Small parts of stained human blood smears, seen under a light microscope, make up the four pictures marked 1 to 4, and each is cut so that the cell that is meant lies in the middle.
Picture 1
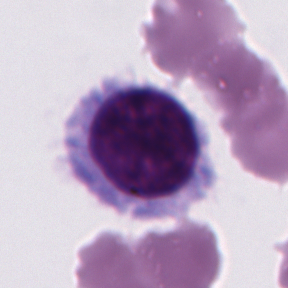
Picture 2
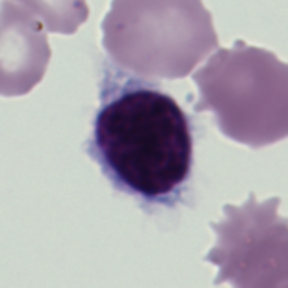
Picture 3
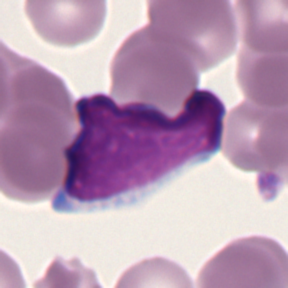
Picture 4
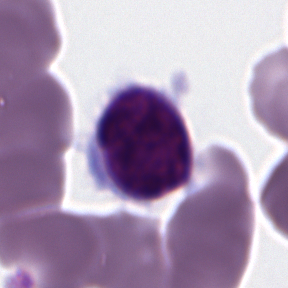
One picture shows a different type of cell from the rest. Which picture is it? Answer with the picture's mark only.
3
